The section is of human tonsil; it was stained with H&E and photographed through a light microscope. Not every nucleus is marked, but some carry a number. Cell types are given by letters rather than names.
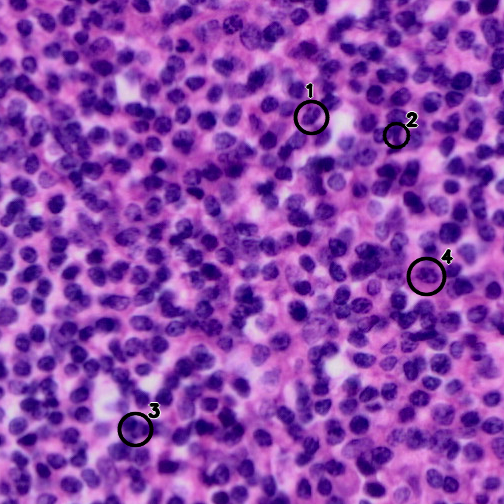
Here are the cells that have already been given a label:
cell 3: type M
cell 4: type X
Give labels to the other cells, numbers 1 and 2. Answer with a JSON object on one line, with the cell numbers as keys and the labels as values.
{"1": "type M", "2": "type M"}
